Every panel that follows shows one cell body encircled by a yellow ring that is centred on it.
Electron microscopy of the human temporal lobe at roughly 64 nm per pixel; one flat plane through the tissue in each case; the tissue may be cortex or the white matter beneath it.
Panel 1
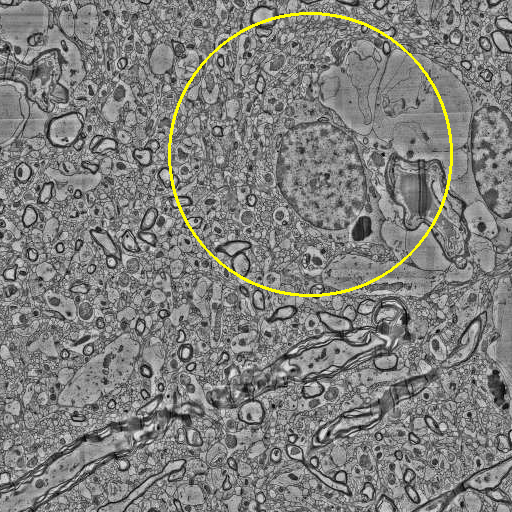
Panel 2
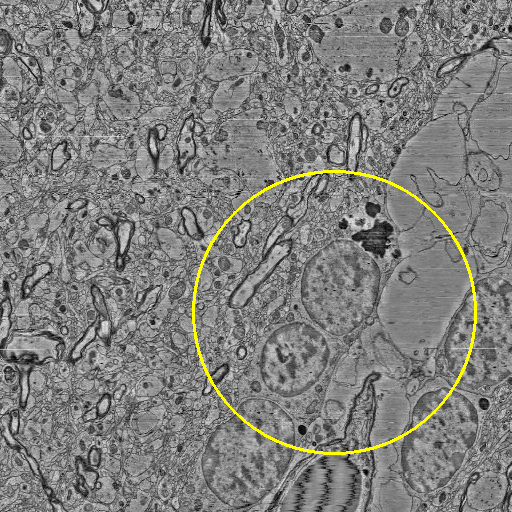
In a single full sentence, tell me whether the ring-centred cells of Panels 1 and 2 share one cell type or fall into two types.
In Panel 1 and Panel 2, the cells at the ring centres share one cell type.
